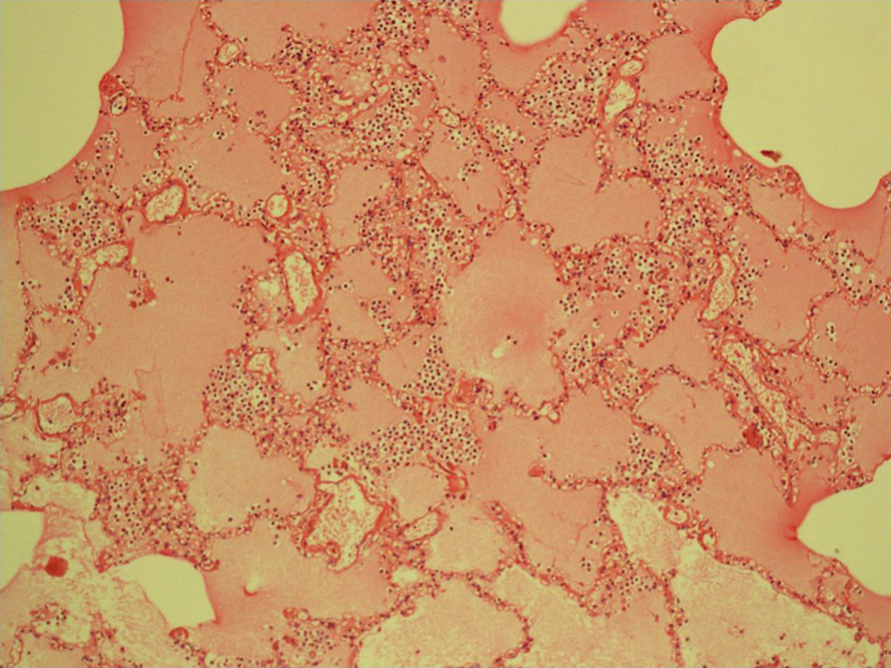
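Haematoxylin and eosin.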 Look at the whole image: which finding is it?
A: Thin proteinaceous fluid.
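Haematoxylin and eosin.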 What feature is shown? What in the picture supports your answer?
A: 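Alveoli. Many polygonal air spaces are bounded by thin septa.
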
